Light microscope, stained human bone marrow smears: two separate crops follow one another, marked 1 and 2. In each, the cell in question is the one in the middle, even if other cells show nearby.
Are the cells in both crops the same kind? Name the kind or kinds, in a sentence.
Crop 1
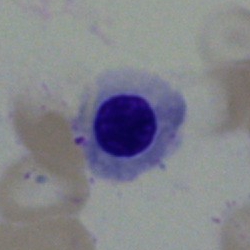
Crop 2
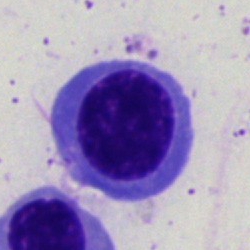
Yes, both crops show a cell each, and these are erythroblasts.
